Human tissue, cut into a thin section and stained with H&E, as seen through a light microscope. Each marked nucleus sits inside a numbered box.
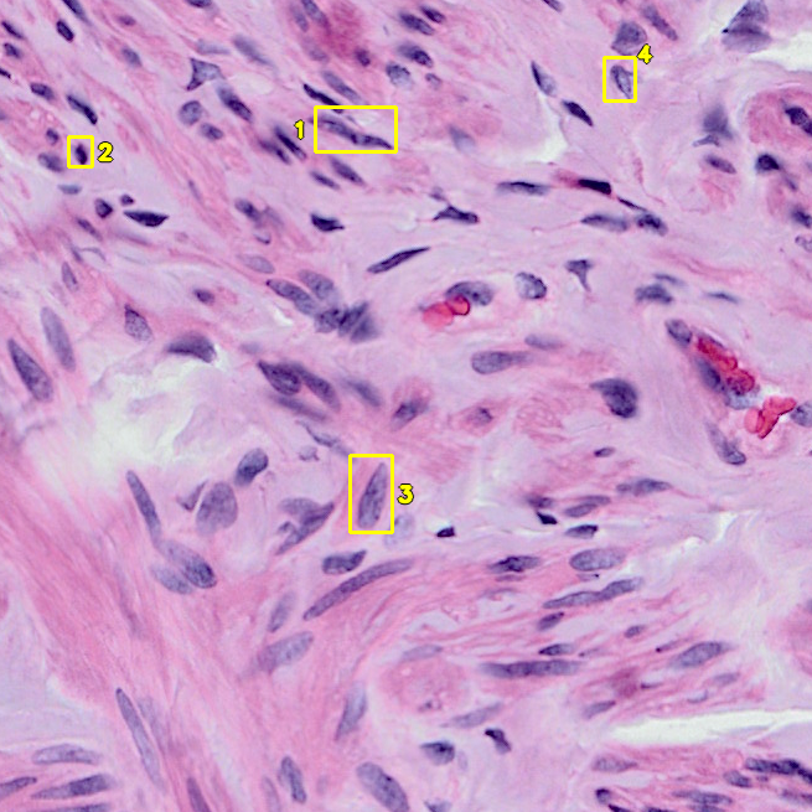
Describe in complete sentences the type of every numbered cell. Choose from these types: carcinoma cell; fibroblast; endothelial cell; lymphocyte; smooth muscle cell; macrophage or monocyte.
Cell 1 is a smooth muscle cell, cell 2 is a smooth muscle cell, cell 3 is a smooth muscle cell and cell 4 is a fibroblast.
